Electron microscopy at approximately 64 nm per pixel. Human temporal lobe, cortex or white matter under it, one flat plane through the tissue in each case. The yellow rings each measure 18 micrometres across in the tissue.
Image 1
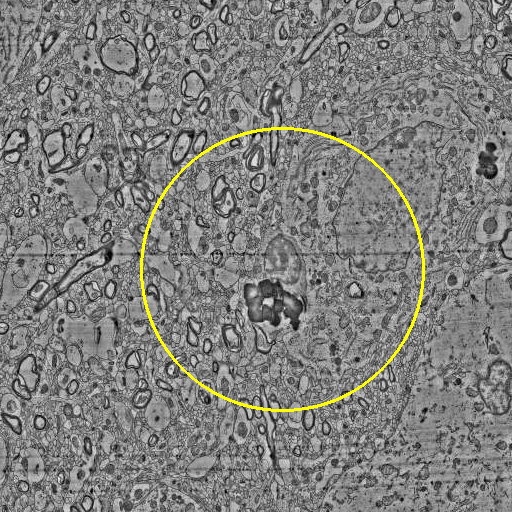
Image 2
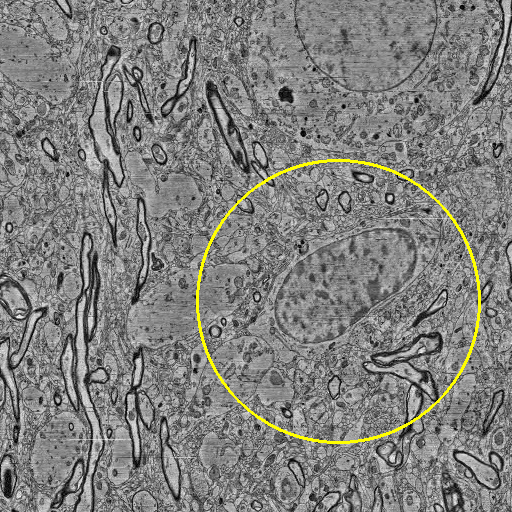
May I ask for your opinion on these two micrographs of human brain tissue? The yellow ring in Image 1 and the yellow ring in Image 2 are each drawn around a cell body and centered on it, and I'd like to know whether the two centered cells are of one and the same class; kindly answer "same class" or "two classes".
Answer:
two classes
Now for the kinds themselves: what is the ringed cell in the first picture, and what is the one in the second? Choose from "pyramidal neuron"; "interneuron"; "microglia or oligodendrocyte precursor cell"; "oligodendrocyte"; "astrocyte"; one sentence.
Here the first cell is an oligodendrocyte and the second cell is a microglial cell or oligodendrocyte precursor cell.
